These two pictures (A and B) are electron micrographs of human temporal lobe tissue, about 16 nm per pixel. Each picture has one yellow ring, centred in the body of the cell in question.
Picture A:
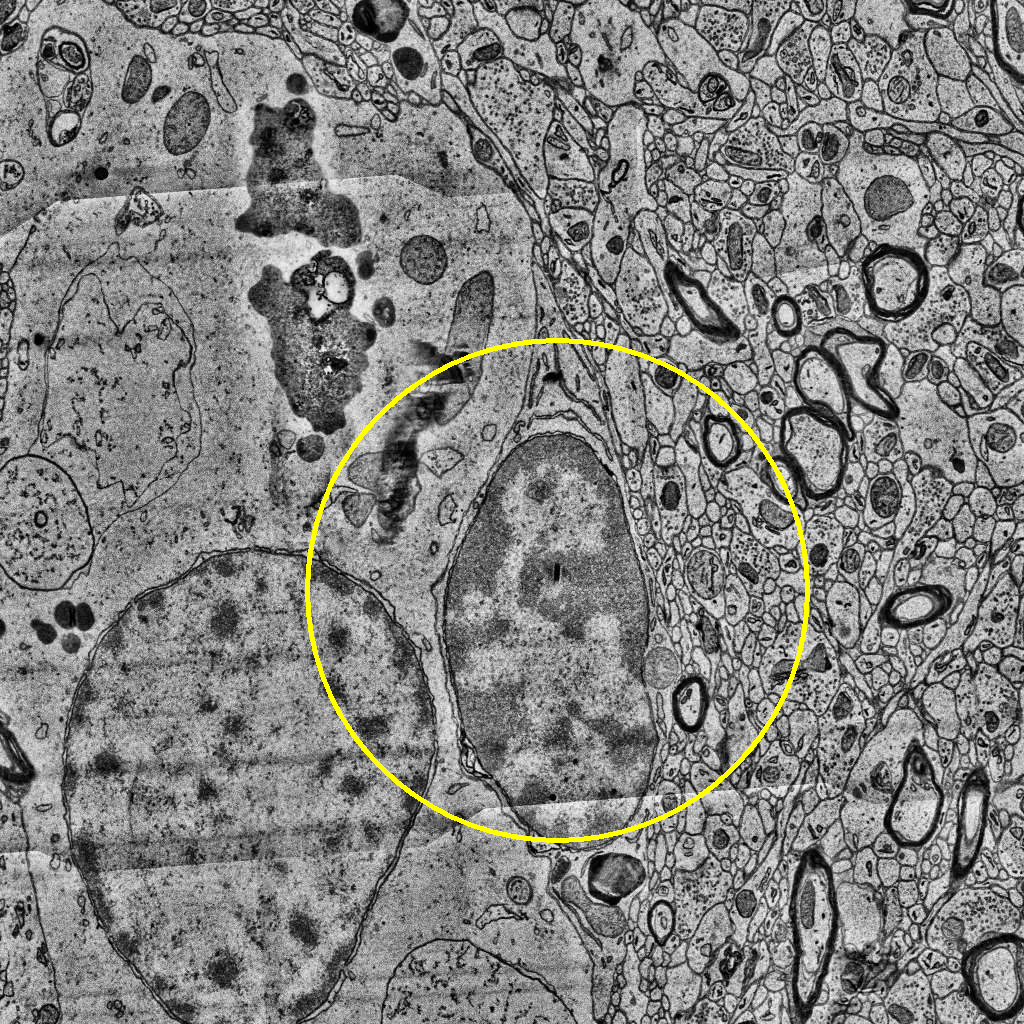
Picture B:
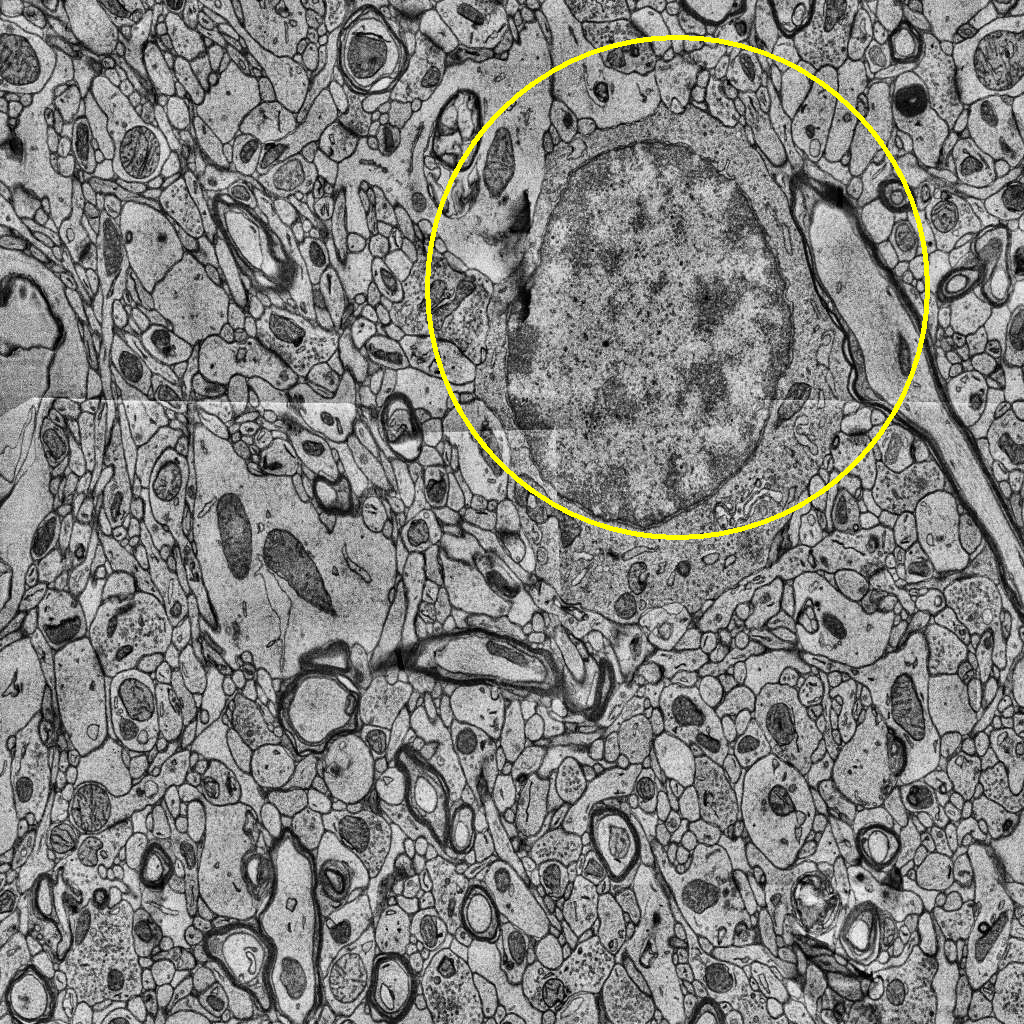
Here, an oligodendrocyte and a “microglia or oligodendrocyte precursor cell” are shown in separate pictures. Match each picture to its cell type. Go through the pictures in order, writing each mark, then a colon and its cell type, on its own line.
A: microglia or oligodendrocyte precursor cell
B: oligodendrocyte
